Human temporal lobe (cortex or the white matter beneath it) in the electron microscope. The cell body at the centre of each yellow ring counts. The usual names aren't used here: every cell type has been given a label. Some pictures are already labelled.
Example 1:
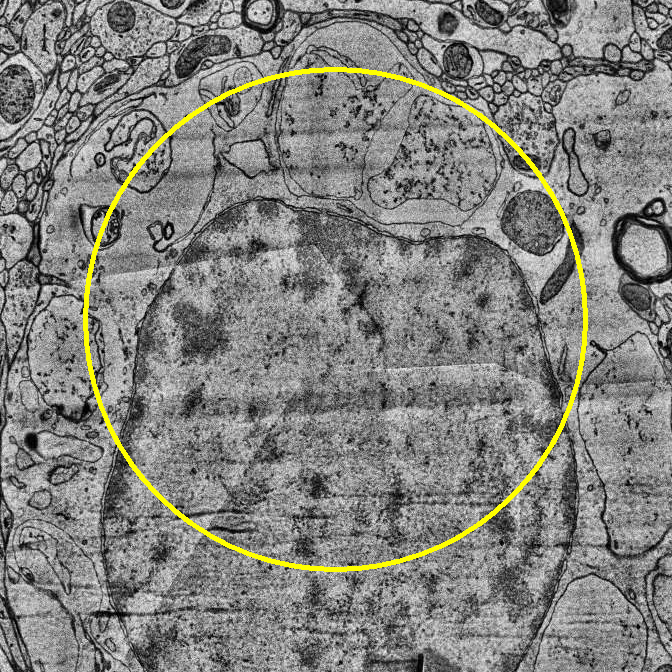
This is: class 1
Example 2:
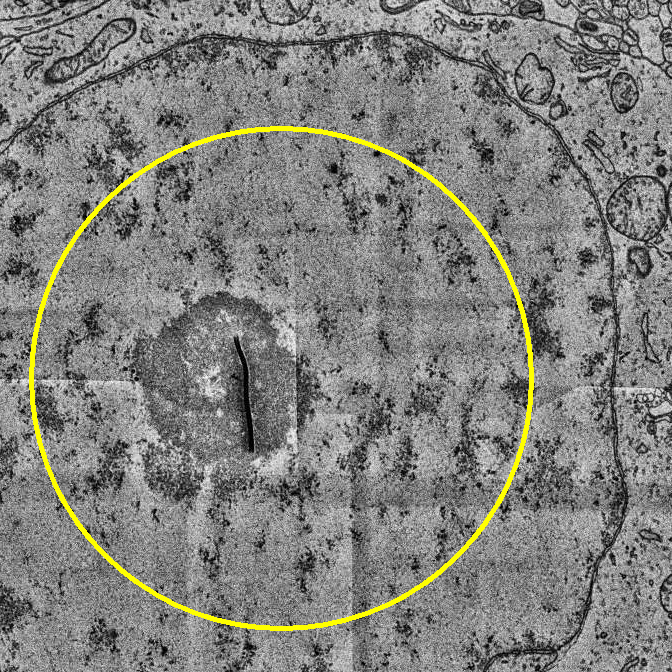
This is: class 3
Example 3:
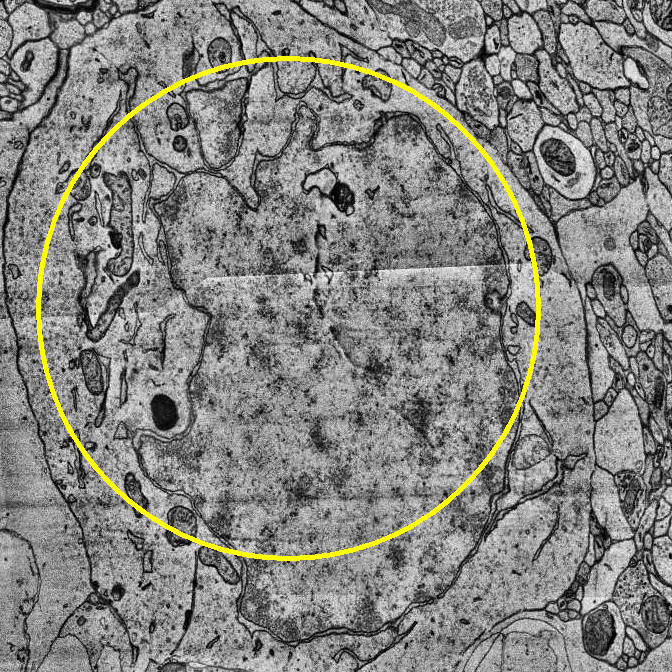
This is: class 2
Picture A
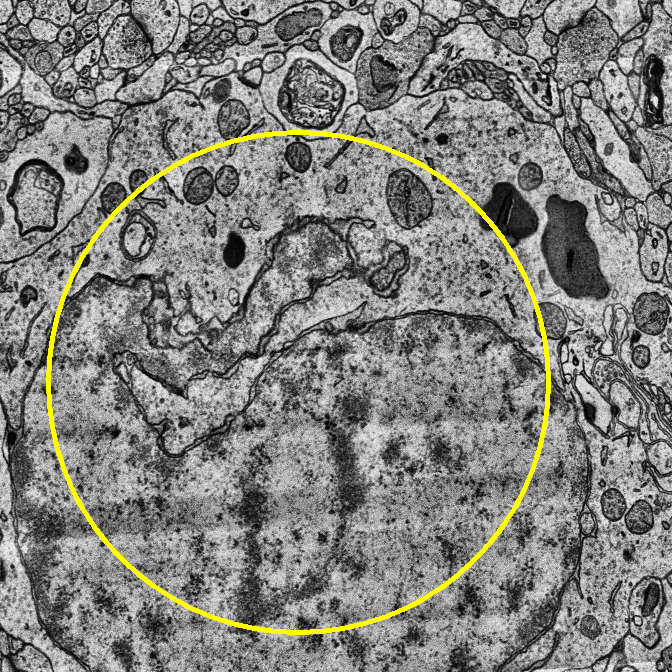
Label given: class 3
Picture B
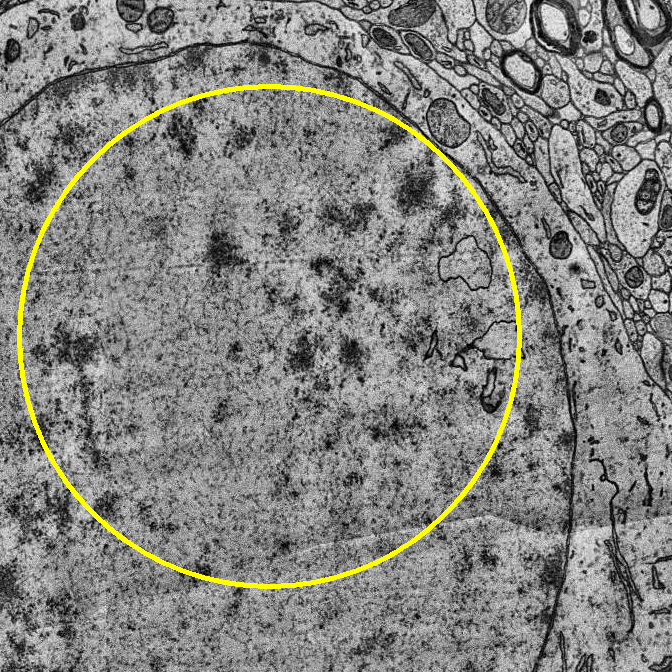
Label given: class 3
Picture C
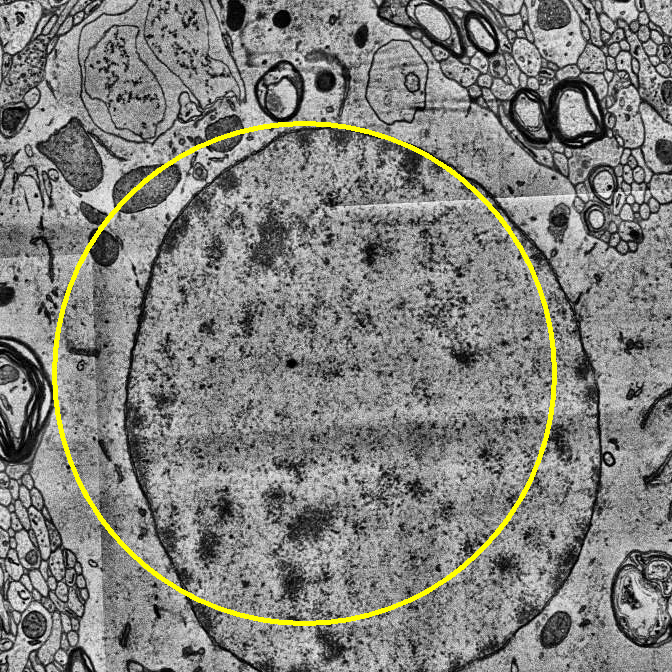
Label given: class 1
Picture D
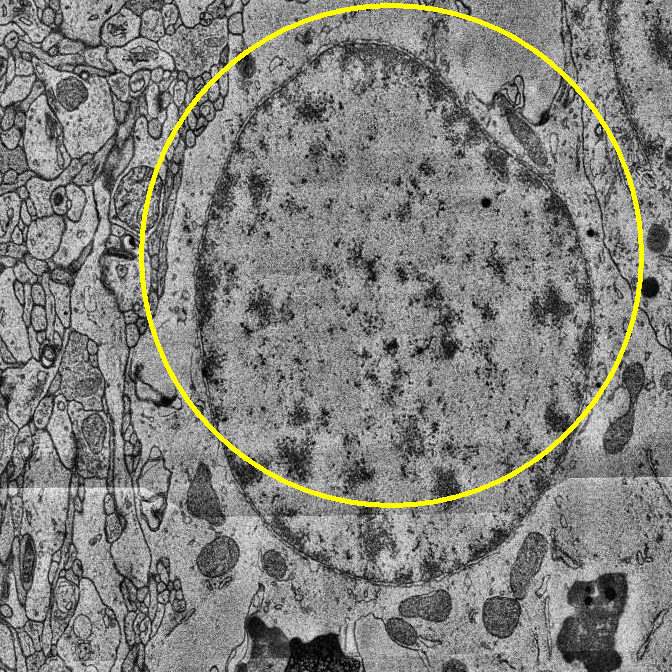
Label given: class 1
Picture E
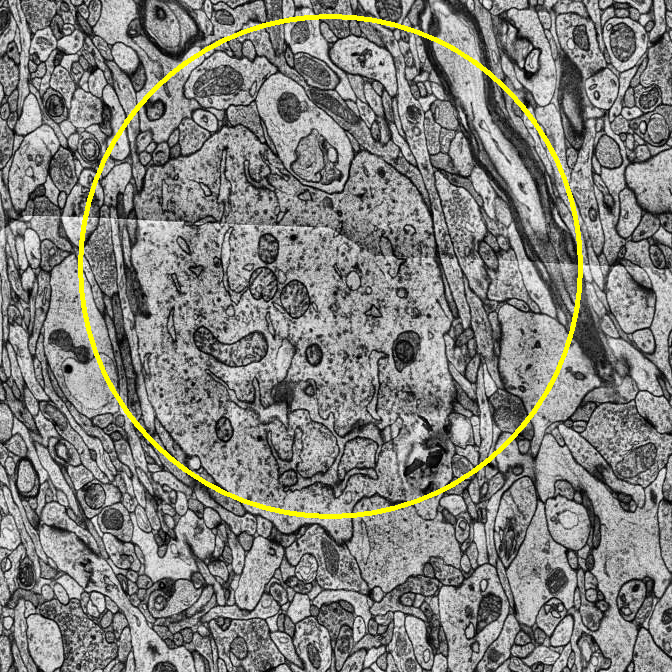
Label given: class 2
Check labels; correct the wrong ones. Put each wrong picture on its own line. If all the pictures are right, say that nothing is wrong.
A is labelled class 3; correct label: class 2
